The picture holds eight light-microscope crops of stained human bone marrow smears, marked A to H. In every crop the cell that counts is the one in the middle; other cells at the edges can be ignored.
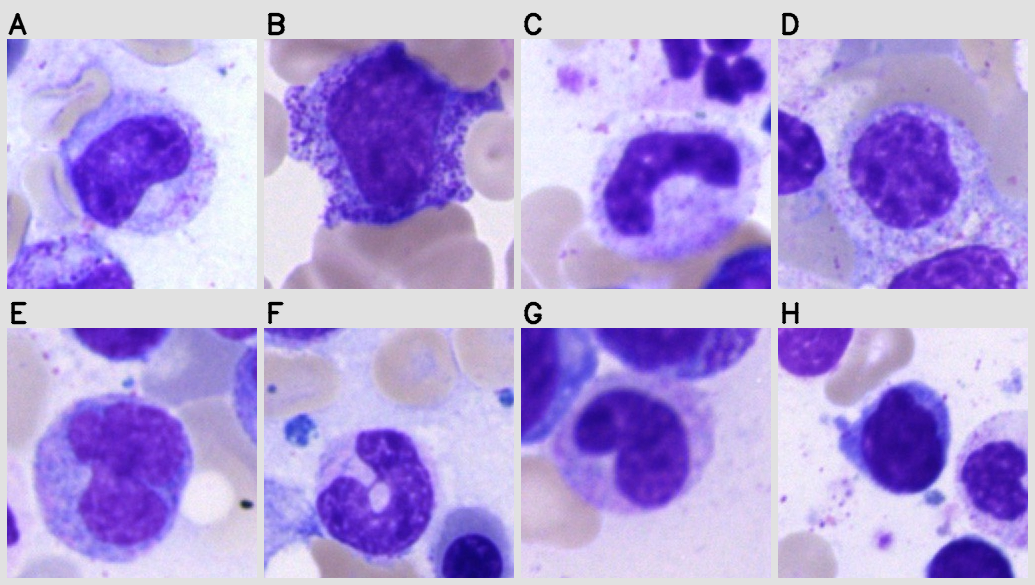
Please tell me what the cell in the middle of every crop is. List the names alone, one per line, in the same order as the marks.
metamyelocyte
promyelocyte
band neutrophil
myelocyte
monocyte
band neutrophil
metamyelocyte
lymphocyte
